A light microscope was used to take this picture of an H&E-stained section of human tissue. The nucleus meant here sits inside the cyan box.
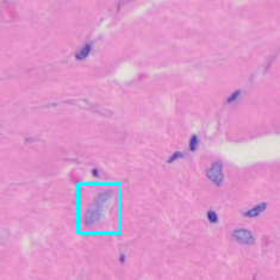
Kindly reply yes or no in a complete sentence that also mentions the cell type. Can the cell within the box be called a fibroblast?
No, not a fibroblast: the cell within the box is a cardiomyocyte.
